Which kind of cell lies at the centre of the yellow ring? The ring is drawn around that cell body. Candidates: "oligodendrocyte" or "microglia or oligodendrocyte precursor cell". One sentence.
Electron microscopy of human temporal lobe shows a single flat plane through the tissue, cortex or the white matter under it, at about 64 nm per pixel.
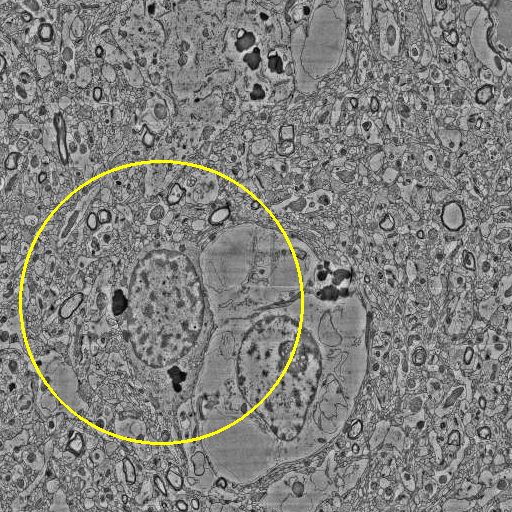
Lying at the centre of the ring is an oligodendrocyte.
